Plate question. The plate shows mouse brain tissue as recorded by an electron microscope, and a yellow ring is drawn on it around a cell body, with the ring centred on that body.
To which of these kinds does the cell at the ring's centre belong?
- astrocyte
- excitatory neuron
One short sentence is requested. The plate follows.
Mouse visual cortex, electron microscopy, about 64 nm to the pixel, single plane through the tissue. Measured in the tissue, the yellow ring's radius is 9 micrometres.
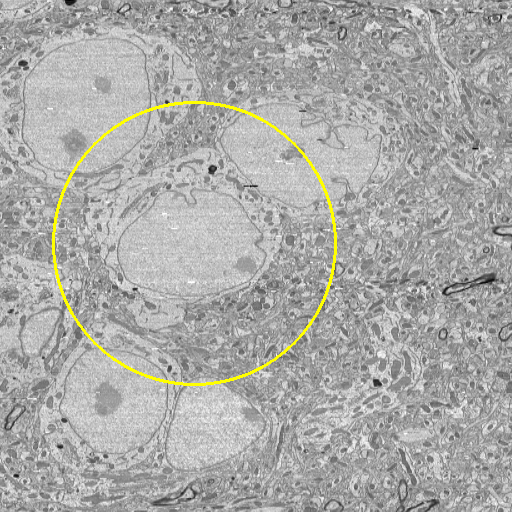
The cell at the ring's centre is an excitatory neuron.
